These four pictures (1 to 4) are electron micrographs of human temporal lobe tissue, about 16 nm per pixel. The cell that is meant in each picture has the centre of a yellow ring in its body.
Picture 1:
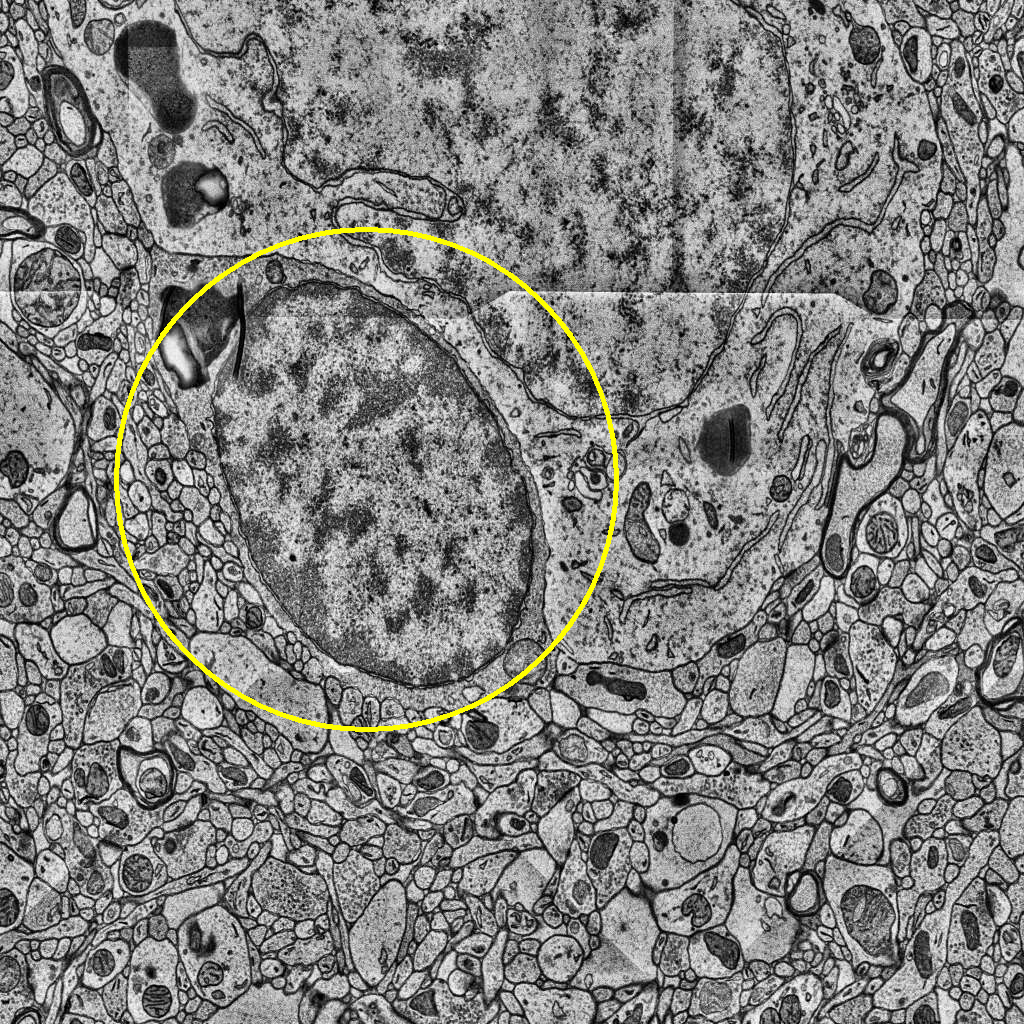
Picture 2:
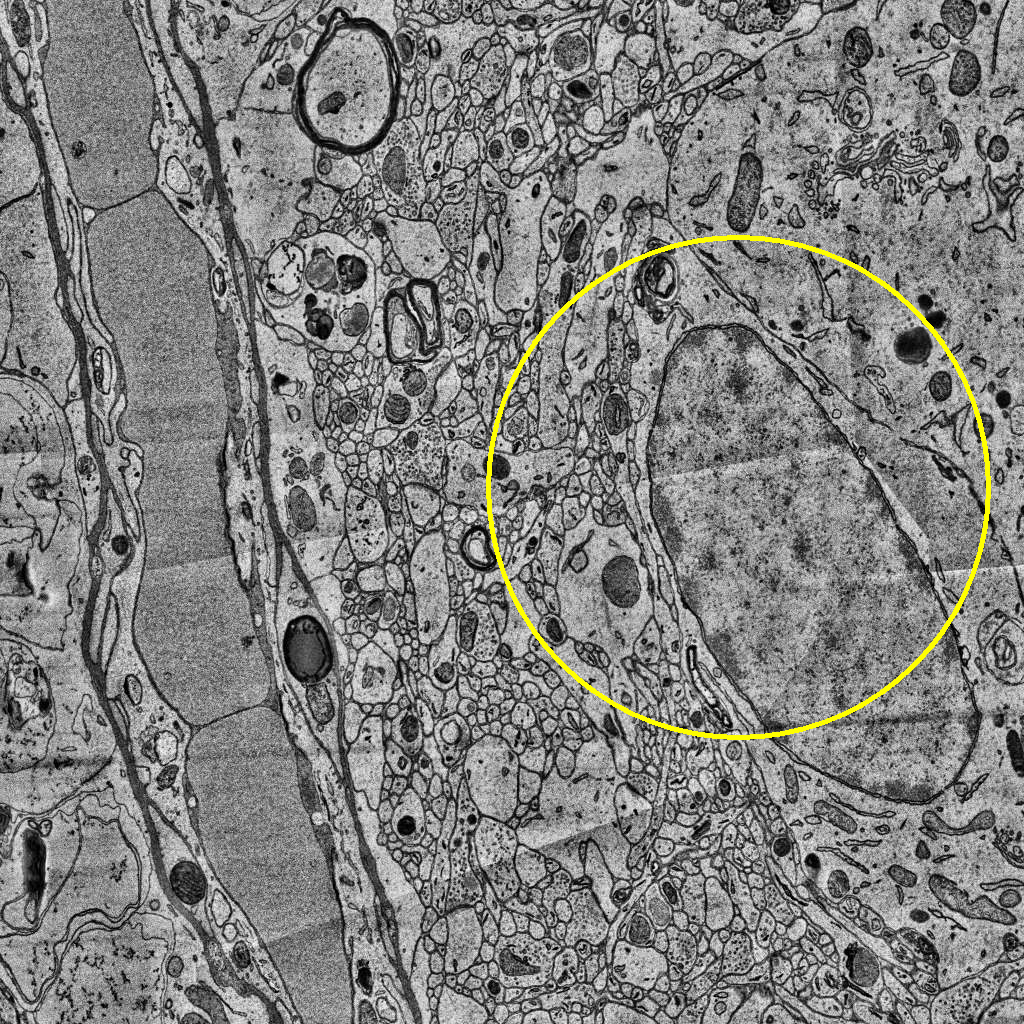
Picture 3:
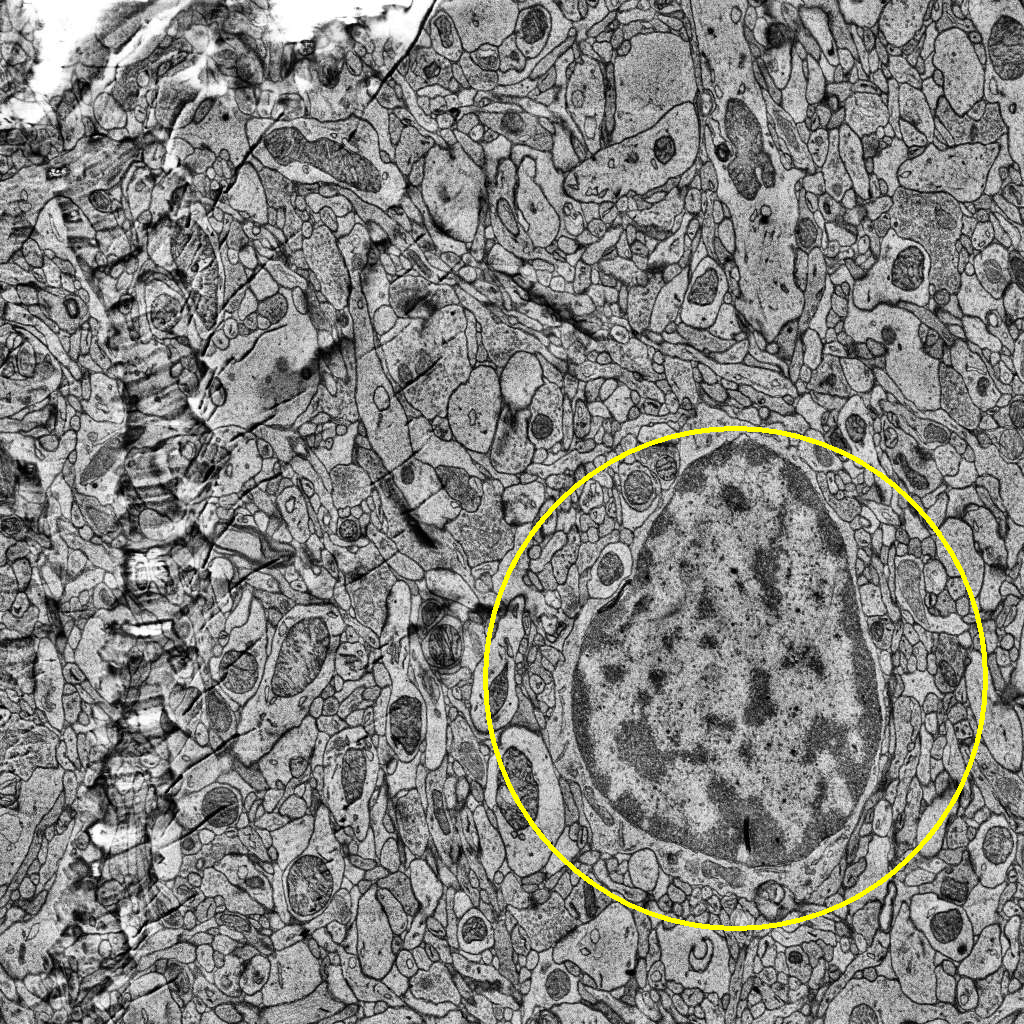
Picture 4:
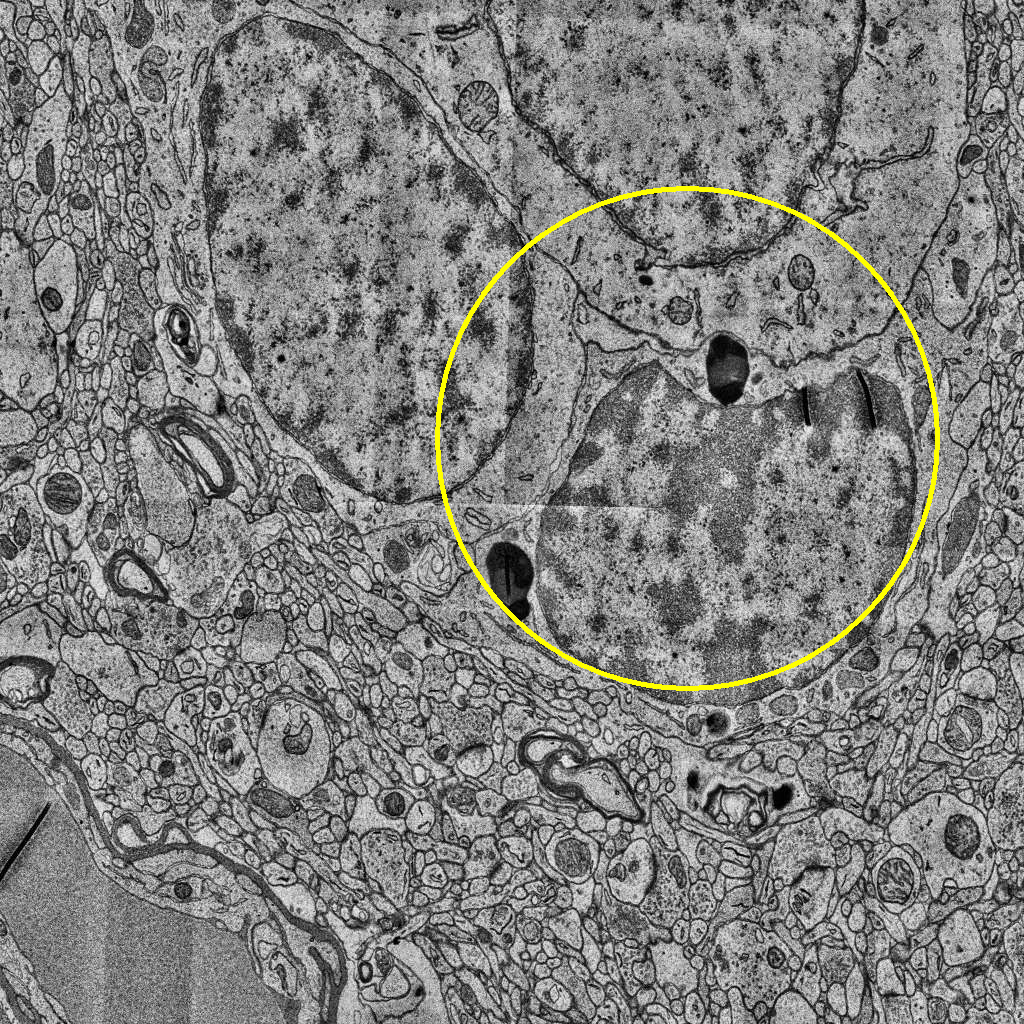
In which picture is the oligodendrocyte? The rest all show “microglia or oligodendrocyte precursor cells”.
The picture with the oligodendrocyte is 1.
